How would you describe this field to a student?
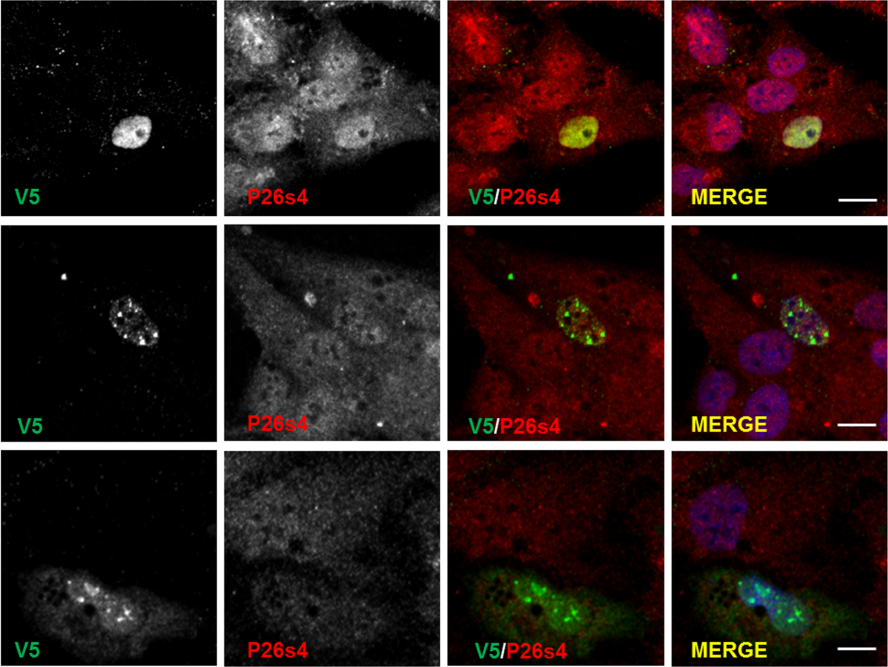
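In the top row the green fills that cell's oval nucleus evenly, except for a dark dot that is probably a nucleolus. In the middle row the green forms bright speckles within the nucleus. In the bottom row the green lies in speckles in the nucleus and also spreads faintly through the surrounding cytoplasm. The red label is spread finely through both nucleus and cytoplasm of all the cells around, and where it overlaps the green it turns yellow.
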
